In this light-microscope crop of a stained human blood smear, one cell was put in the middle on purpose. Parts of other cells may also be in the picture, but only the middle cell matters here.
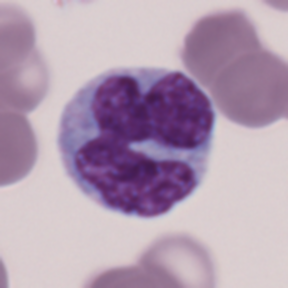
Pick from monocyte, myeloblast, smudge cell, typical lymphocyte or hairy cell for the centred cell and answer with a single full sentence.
The central cell shown in this smear crop is a monocyte.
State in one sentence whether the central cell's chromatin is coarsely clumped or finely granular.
The chromatin within its nucleus forms coarse clumps.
